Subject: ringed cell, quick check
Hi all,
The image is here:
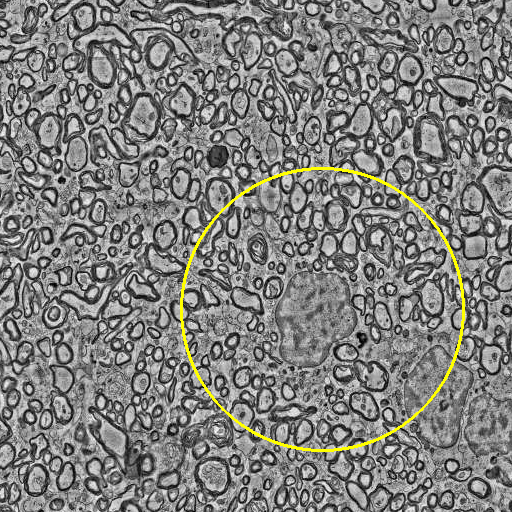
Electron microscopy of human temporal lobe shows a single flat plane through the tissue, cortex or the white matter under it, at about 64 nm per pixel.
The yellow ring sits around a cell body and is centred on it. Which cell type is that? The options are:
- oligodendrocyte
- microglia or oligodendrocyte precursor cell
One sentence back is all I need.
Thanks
That ringed cell is an oligodendrocyte.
